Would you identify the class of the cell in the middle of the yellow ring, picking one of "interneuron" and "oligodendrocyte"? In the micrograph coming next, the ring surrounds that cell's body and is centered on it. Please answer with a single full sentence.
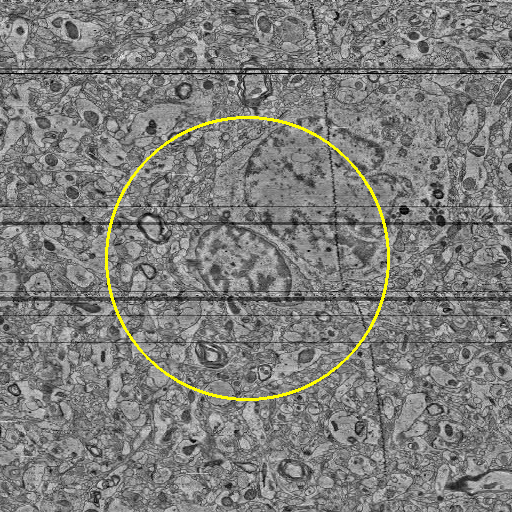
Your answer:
In the micrograph, it is an oligodendrocyte whose body lies at the ring's center.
